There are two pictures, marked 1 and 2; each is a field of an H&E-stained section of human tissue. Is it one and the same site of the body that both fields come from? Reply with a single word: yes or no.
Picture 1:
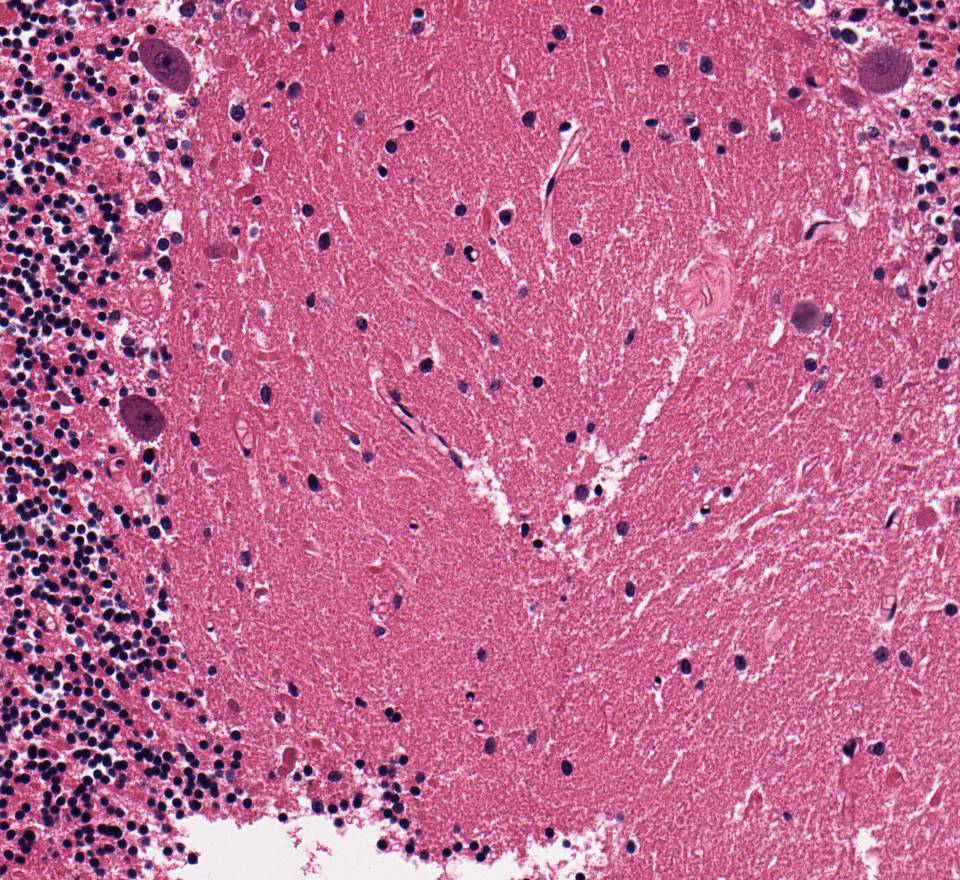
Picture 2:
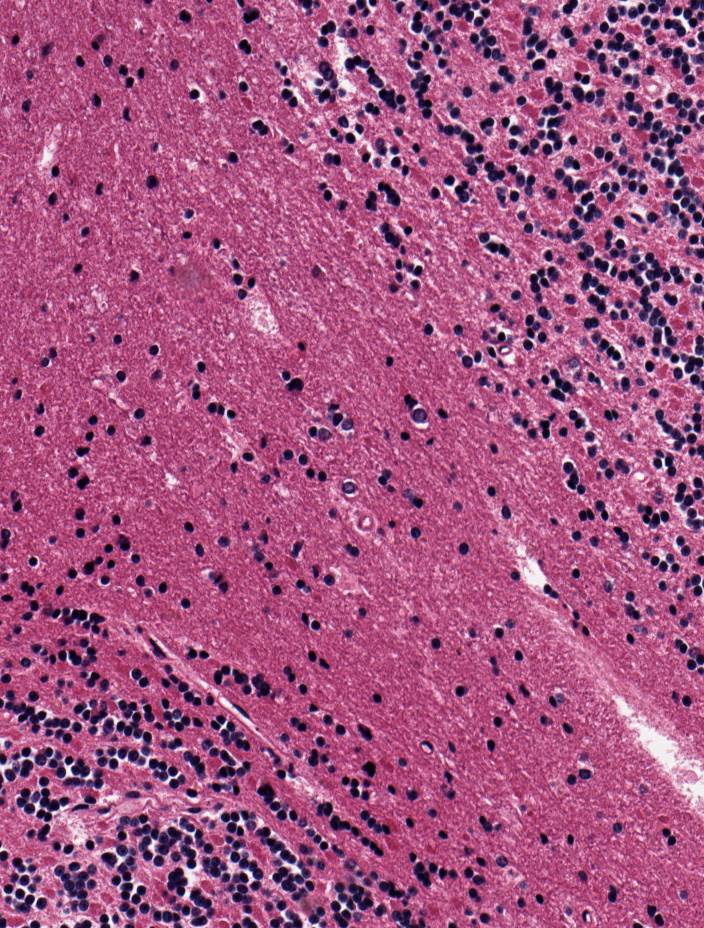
yes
